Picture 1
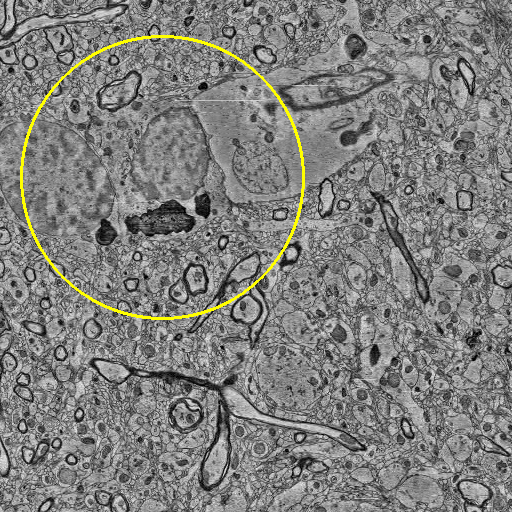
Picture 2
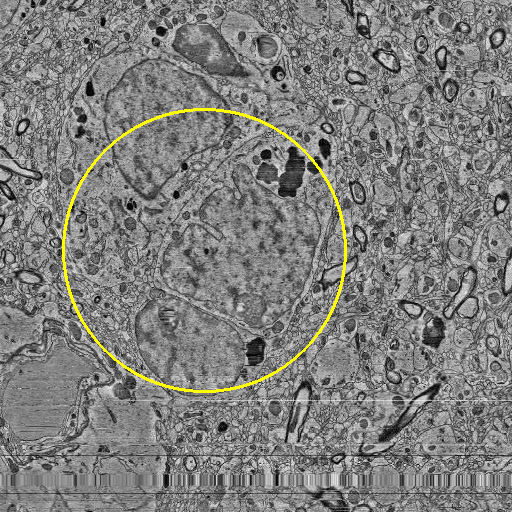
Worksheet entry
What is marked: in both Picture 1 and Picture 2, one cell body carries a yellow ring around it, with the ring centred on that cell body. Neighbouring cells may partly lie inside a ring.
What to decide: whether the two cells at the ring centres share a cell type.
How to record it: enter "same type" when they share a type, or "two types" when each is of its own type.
two types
